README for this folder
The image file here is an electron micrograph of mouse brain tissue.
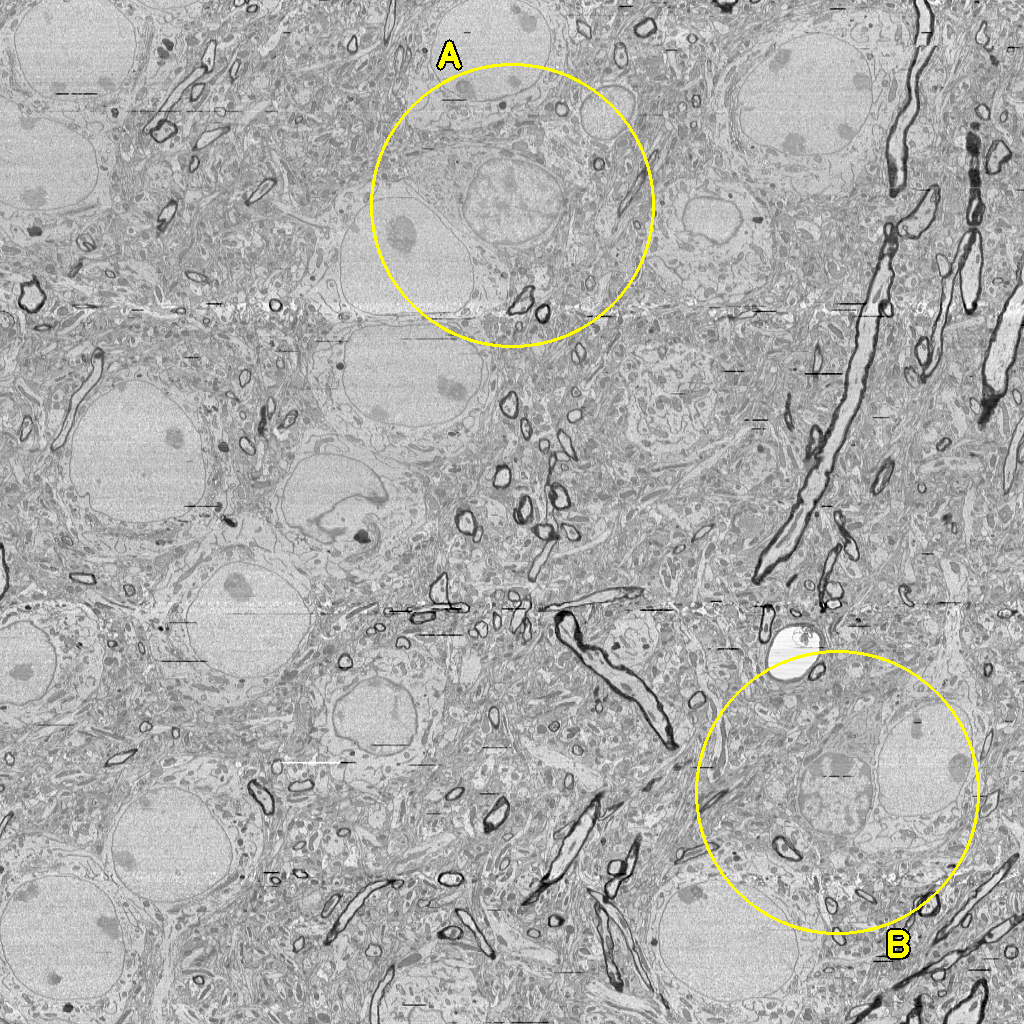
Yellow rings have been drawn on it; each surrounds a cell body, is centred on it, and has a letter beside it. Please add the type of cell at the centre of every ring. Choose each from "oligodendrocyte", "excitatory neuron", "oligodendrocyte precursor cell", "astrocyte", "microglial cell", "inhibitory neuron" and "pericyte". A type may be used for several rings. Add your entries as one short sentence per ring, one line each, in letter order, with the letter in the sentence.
Ring A marks the cell body of an oligodendrocyte.
Ring B marks the cell body of an oligodendrocyte.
